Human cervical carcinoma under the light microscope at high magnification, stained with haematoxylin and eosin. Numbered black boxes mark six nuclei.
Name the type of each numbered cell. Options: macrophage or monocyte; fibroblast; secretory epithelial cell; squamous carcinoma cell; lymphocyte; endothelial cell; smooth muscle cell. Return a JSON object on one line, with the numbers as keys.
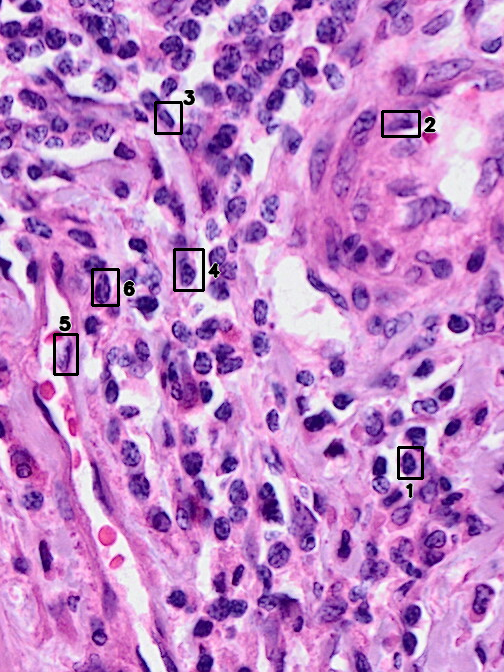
{"1": "lymphocyte", "2": "endothelial cell", "3": "lymphocyte", "4": "lymphocyte", "5": "endothelial cell", "6": "lymphocyte"}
